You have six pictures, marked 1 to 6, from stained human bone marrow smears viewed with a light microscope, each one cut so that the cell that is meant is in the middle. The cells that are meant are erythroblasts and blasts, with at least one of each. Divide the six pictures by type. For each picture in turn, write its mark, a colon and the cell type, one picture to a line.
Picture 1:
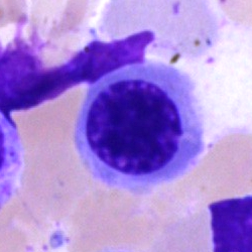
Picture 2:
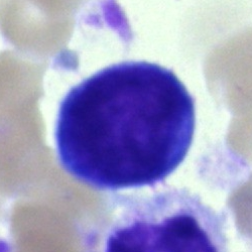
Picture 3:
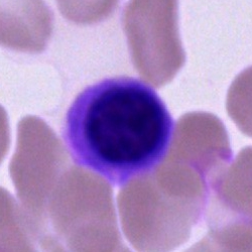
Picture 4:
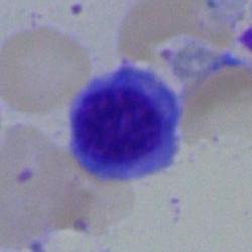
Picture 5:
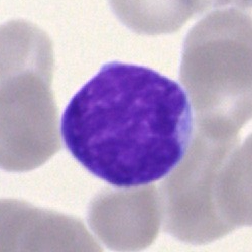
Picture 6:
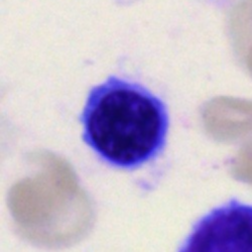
1: erythroblast
2: blast
3: erythroblast
4: erythroblast
5: blast
6: erythroblast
